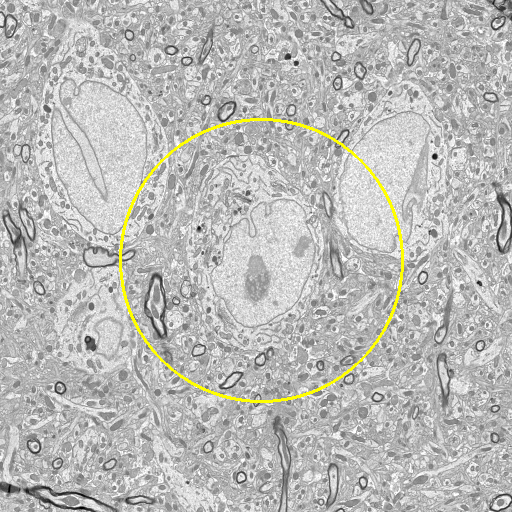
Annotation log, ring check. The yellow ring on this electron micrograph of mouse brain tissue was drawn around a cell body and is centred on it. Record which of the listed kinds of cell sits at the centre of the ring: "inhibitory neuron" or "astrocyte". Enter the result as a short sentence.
The cell at the centre of the ring is an inhibitory neuron.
